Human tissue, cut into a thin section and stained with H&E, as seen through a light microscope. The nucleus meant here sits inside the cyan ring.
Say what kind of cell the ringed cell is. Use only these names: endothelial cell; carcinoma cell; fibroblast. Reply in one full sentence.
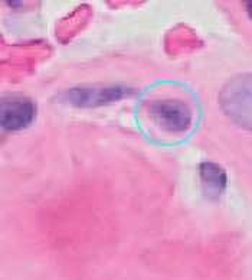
As for its identity, the ringed cell is an endothelial cell.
